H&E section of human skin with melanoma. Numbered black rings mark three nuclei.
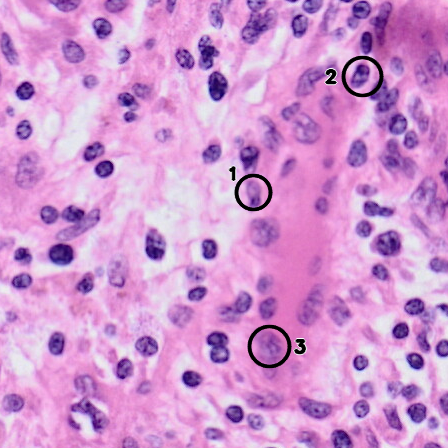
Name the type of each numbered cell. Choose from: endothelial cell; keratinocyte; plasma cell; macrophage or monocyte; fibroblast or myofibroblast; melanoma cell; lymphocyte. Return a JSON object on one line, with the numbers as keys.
{"1": "macrophage or monocyte", "2": "lymphocyte", "3": "endothelial cell"}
